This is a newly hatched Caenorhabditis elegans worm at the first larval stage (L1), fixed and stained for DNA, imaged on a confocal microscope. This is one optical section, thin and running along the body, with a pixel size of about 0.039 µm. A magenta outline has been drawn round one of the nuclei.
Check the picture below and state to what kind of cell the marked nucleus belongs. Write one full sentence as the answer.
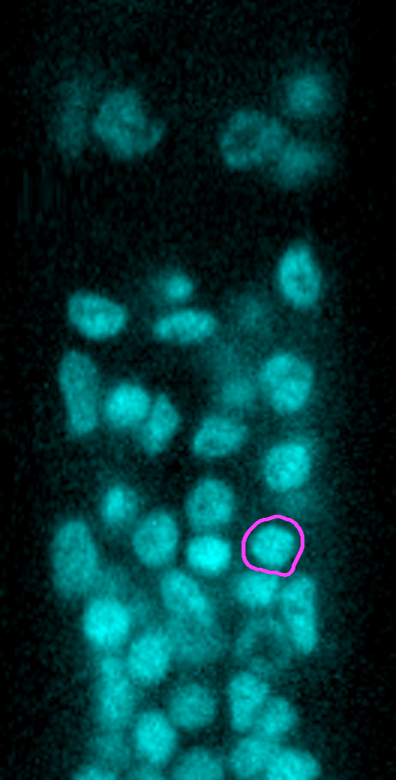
The nucleus comes from a neuron.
